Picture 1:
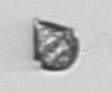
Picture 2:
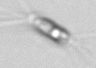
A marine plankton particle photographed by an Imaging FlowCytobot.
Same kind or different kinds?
Different: the first is Scrippsiella, the second Chrysochromulina parkeae.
